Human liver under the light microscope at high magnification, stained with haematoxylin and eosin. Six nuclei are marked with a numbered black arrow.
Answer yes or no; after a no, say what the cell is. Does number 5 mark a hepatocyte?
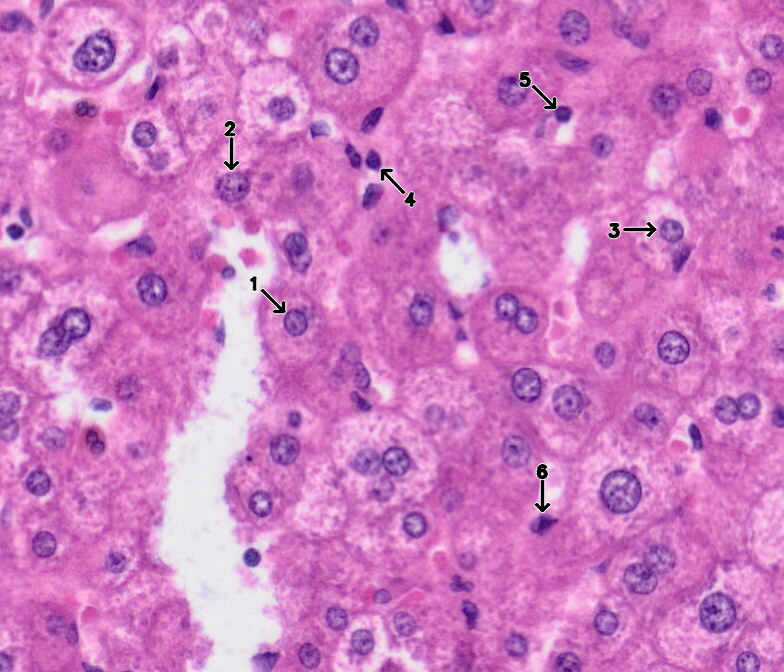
No, it is a lymphocyte.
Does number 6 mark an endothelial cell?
Yes.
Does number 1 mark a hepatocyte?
Yes.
